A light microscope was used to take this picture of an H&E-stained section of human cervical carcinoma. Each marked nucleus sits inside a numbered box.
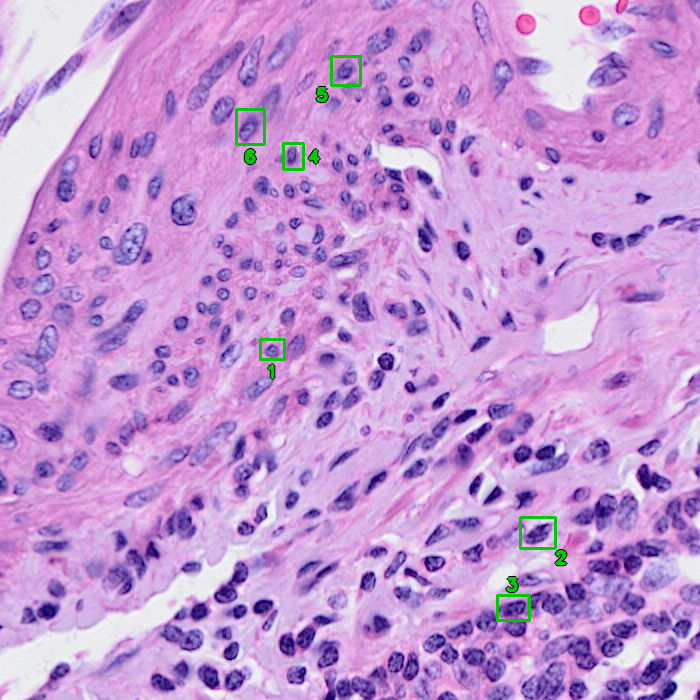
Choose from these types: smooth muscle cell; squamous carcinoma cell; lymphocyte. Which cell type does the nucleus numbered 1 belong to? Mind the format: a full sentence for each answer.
The identity of cell 1 is that of a smooth muscle cell.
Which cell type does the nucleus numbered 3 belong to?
Cell 3 in the field of view is a lymphocyte.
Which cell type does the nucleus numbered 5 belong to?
Identified as a smooth muscle cell is the cell bearing the number 5.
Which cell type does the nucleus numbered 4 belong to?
Number 4 among the marked cells is a smooth muscle cell.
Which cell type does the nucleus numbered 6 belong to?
Regarding cell 6, this one is a smooth muscle cell.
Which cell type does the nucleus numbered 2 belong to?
The cell numbered 2 has been identified as a lymphocyte.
